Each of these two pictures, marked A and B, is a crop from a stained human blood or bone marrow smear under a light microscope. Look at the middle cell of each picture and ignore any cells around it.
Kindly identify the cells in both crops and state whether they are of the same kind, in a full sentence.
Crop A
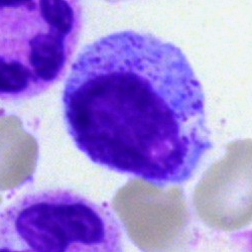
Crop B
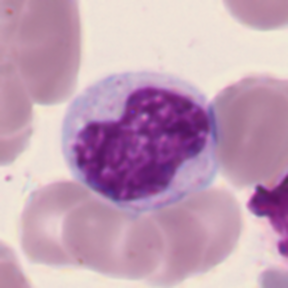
No, the labels go like this: crop A is a myelocyte and crop B is a metamyelocyte.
